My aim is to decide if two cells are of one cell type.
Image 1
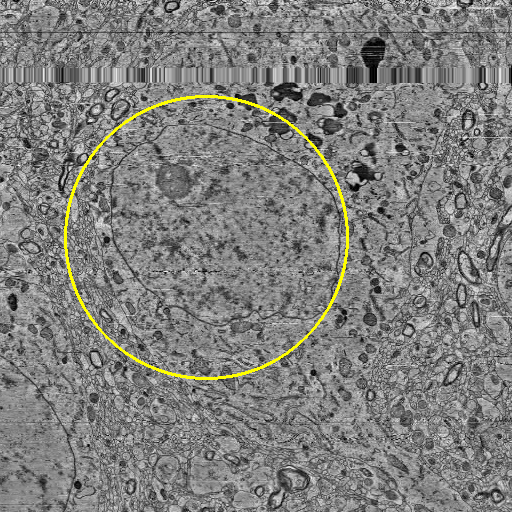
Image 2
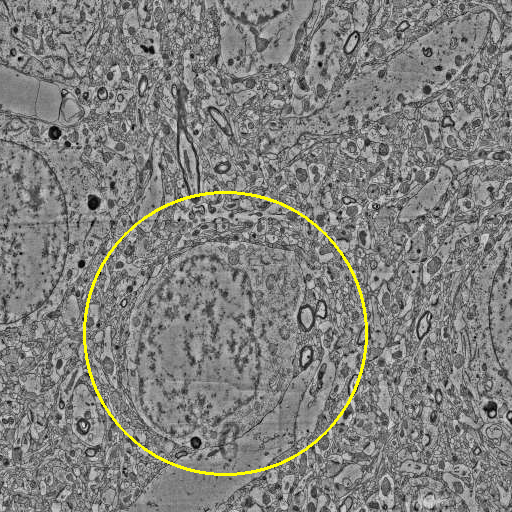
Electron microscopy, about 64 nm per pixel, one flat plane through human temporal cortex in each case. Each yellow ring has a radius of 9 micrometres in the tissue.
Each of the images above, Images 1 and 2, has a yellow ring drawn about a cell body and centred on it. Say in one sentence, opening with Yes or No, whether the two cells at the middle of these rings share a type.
No, in Images 1 and 2 the cells at the middle of the rings fall into two types.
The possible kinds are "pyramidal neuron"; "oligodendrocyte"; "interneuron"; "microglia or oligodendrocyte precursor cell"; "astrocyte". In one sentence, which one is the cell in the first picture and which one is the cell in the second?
The cell ringed in the second picture is an interneuron, whereas the one ringed in the first is a pyramidal neuron.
